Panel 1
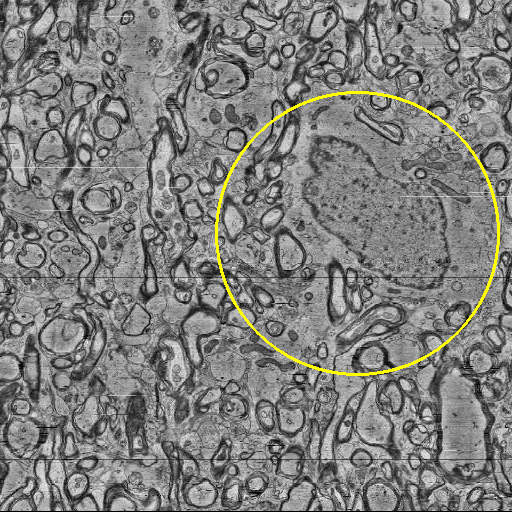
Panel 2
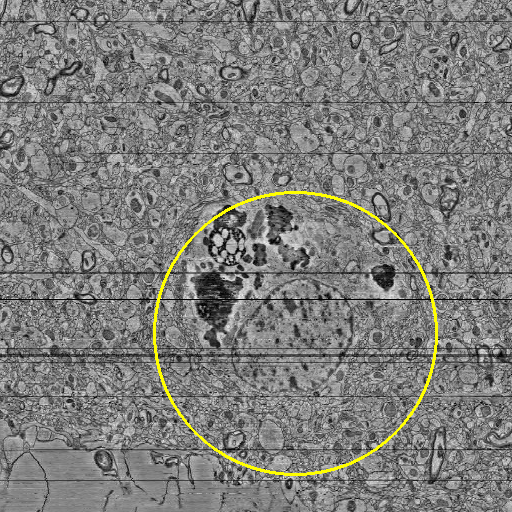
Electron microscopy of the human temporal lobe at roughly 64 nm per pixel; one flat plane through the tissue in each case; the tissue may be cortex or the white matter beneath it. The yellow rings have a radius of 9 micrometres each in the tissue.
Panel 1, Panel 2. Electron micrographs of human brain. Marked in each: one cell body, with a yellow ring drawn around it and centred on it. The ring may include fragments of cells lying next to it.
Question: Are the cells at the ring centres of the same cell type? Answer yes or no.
yes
